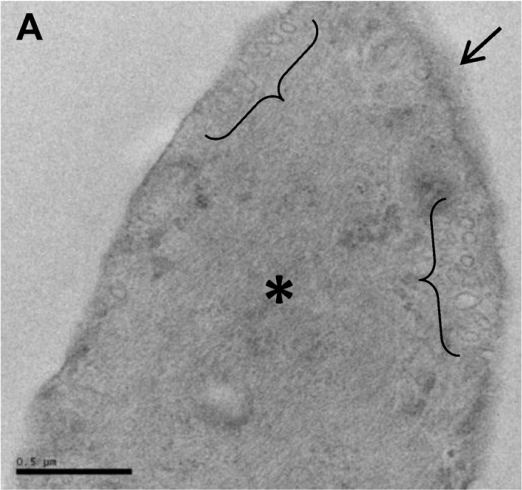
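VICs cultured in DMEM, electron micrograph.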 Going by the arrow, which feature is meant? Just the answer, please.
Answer: incomplete external lamina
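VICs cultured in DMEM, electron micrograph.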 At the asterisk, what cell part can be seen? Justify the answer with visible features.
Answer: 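Cytoplasmic myofibres. The central cytoplasm is filled with a fairly uniform grey, finely fibrillar material. Few membrane-bound organelles lie in this area.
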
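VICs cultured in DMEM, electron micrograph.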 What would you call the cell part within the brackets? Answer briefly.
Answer: pinocytotic vesicles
